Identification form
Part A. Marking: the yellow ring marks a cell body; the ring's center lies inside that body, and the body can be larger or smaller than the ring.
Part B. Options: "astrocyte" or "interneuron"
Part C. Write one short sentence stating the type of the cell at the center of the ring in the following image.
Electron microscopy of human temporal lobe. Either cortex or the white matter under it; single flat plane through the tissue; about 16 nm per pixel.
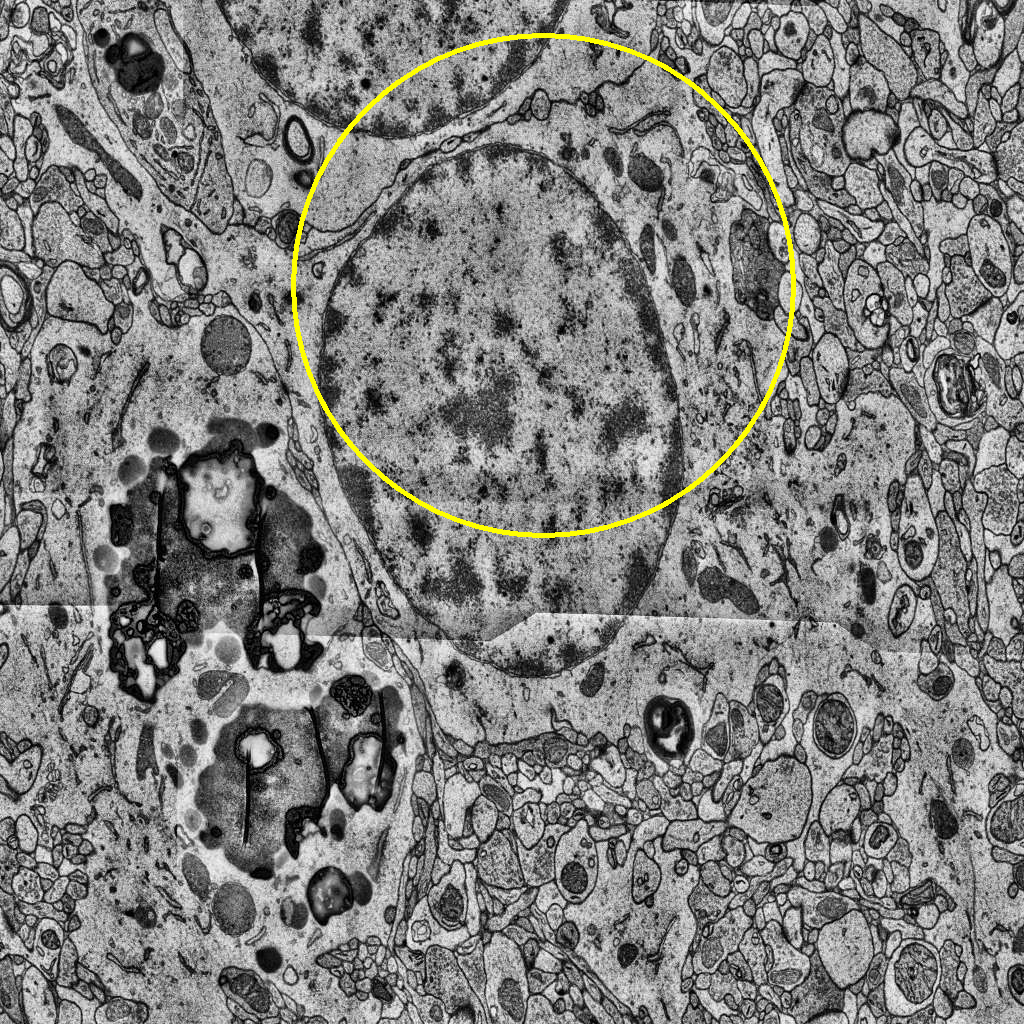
The center of the ring holds an astrocyte.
